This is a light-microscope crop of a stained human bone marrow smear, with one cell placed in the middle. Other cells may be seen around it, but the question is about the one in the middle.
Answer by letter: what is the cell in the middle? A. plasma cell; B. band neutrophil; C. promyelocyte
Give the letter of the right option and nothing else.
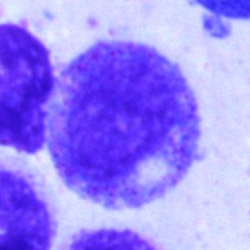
C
